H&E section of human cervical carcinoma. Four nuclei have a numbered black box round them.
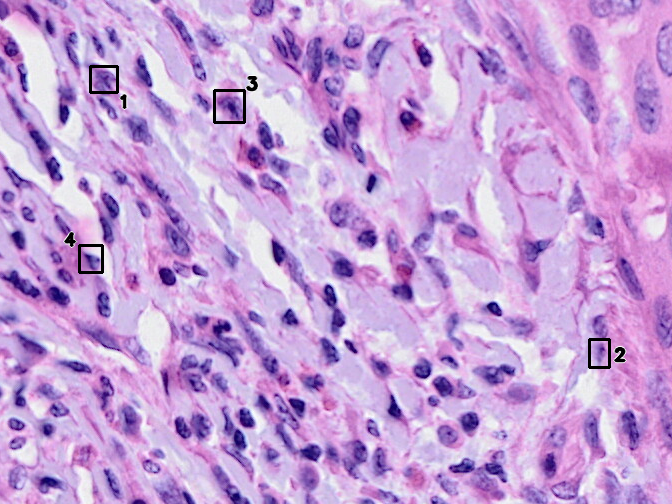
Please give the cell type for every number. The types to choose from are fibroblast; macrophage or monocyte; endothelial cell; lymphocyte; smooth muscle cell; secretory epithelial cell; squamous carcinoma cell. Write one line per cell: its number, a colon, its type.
1: macrophage or monocyte
2: fibroblast
3: macrophage or monocyte
4: lymphocyte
